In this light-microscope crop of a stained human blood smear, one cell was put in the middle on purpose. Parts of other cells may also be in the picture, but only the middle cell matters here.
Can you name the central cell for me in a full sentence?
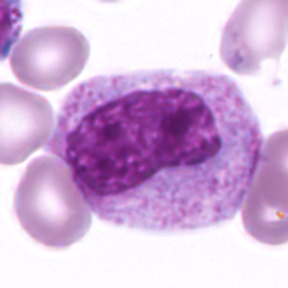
The cell at the heart of this crop is a myelocyte.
